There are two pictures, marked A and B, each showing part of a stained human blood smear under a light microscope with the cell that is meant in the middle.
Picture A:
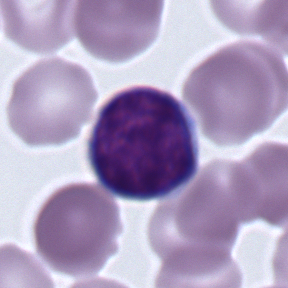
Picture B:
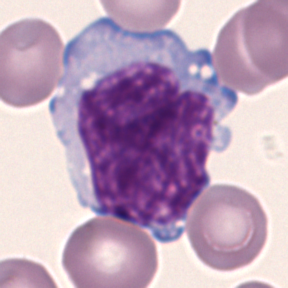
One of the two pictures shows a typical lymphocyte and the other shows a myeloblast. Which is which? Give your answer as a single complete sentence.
In picture A the cell is a typical lymphocyte; in picture B, a myeloblast.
